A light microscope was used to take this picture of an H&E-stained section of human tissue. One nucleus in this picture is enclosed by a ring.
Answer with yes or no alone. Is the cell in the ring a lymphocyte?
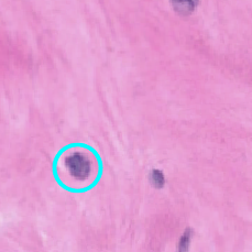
yes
